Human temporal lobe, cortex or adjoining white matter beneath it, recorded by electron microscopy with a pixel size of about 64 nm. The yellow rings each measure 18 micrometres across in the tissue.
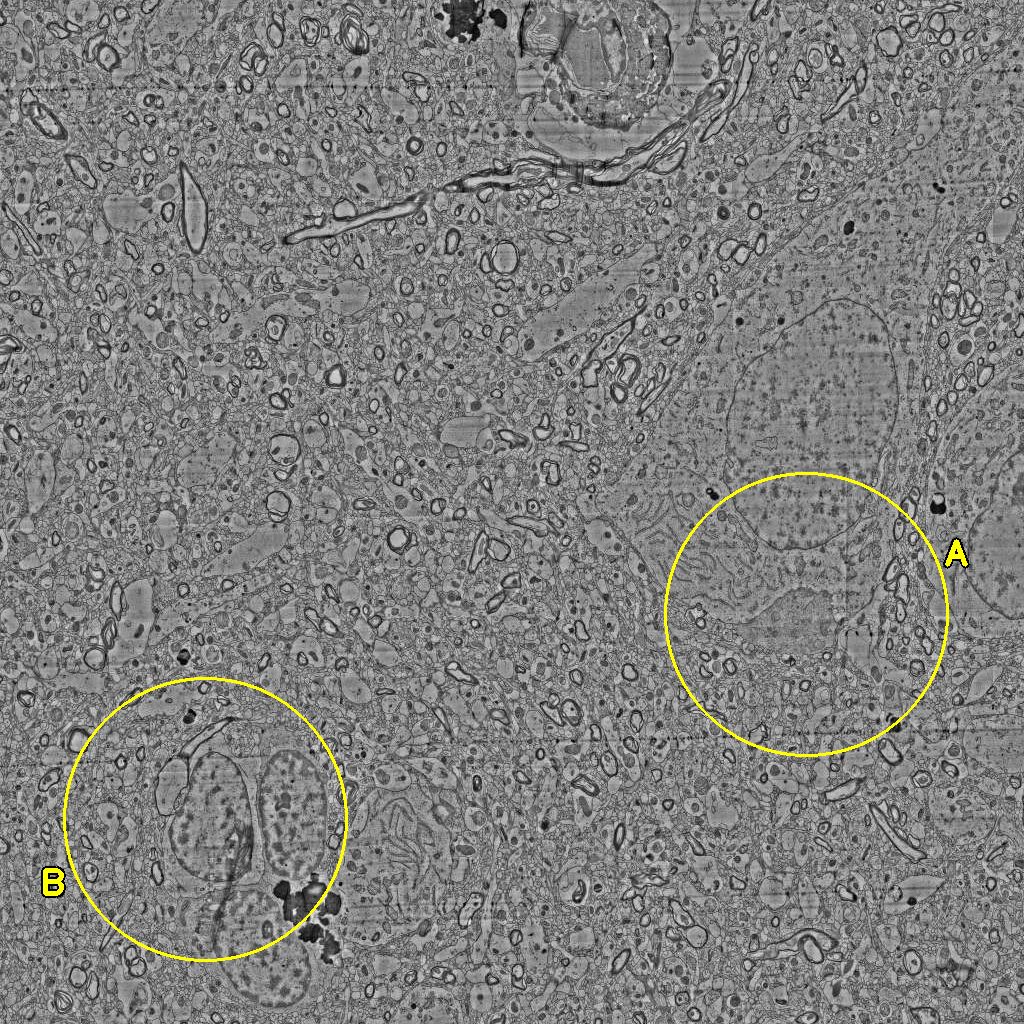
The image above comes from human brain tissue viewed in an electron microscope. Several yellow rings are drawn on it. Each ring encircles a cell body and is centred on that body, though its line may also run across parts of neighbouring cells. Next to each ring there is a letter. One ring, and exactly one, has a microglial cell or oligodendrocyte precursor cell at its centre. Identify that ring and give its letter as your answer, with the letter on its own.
B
